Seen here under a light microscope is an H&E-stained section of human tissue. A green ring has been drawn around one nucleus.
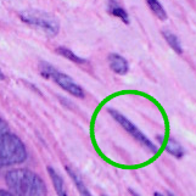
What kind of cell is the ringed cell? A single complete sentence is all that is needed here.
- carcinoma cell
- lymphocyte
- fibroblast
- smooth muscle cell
In this preparation, the ringed cell is a fibroblast.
